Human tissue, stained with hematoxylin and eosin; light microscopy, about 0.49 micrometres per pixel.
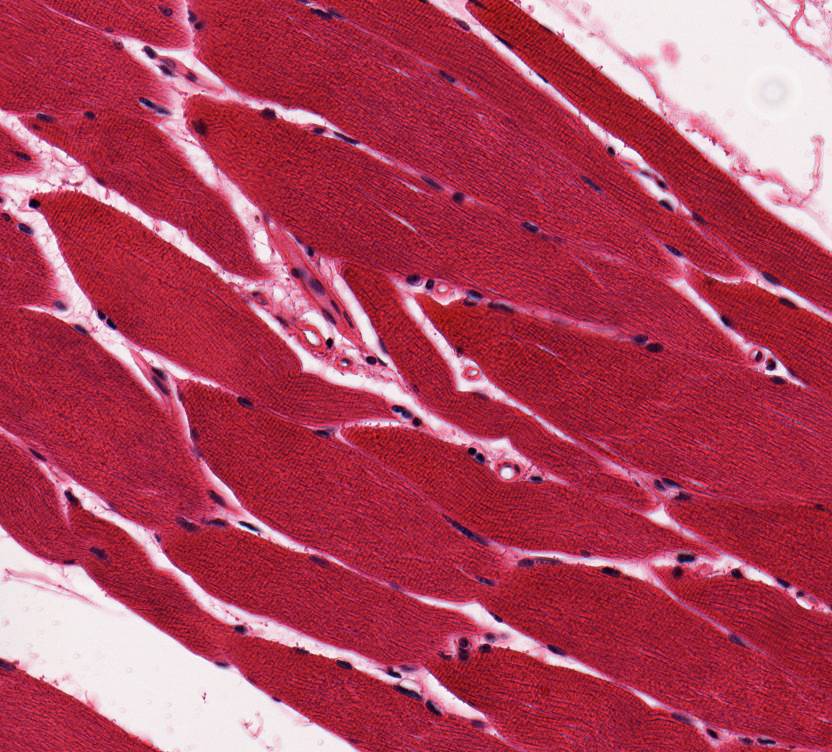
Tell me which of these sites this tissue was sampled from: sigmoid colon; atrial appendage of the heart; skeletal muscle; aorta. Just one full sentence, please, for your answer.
The sample of tissue came from the skeletal muscle.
